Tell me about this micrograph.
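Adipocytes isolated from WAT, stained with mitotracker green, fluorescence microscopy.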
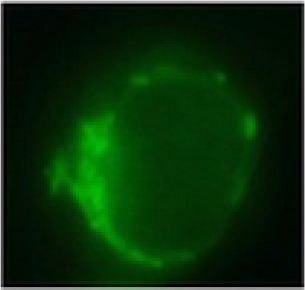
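The cell is round, and the green signal runs as a thin ring along its outer edge, marking the cell's outline. On the left side the signal gathers into a denser, irregular cluster of small mitochondria. The middle of the cell is largely free of signal, so the organelles appear confined to the rim of the cell.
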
